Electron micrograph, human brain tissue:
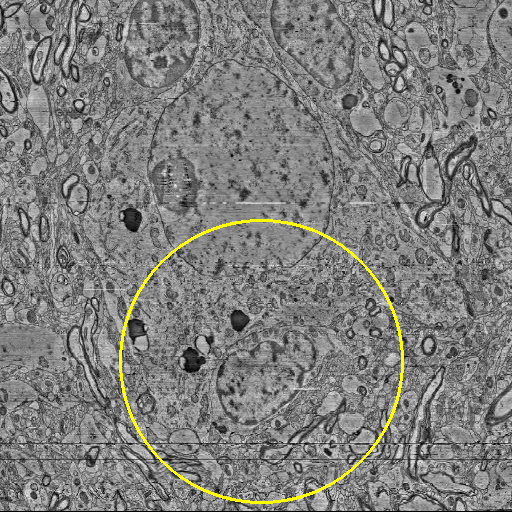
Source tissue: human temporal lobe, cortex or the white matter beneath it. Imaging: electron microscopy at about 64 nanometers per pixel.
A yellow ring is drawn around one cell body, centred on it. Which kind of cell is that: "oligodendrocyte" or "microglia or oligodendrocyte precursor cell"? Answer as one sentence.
It is a microglial cell or oligodendrocyte precursor cell at the centre of the ring.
